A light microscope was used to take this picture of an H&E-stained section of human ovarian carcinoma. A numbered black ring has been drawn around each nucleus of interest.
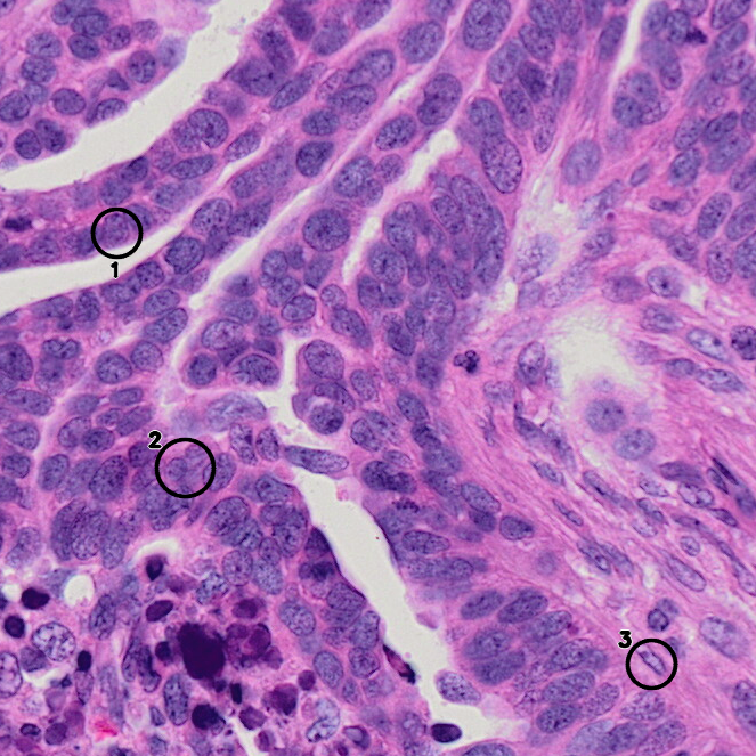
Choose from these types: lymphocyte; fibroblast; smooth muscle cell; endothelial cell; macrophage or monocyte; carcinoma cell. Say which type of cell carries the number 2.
carcinoma cell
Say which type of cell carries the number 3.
fibroblast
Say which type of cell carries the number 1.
carcinoma cell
